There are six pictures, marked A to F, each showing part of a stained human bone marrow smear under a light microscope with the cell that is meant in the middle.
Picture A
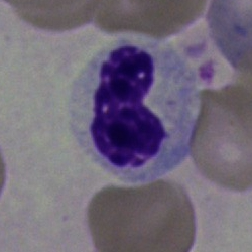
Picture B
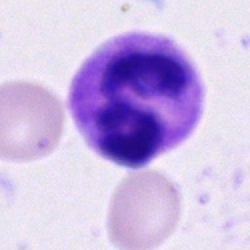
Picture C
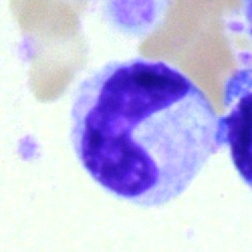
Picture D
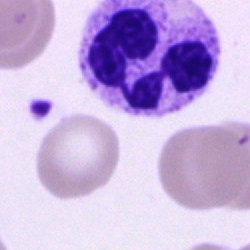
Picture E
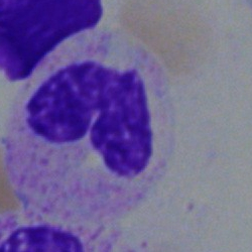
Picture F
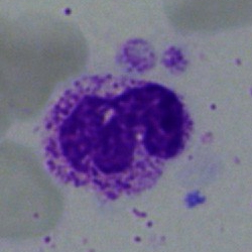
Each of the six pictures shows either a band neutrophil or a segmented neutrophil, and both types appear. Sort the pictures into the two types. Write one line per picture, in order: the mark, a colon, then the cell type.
A: band neutrophil
B: segmented neutrophil
C: band neutrophil
D: segmented neutrophil
E: segmented neutrophil
F: segmented neutrophil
